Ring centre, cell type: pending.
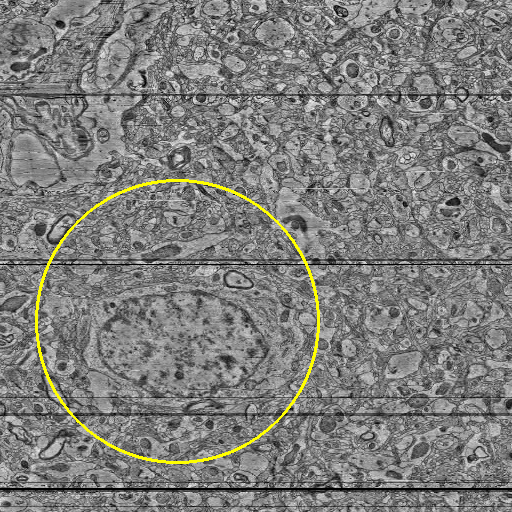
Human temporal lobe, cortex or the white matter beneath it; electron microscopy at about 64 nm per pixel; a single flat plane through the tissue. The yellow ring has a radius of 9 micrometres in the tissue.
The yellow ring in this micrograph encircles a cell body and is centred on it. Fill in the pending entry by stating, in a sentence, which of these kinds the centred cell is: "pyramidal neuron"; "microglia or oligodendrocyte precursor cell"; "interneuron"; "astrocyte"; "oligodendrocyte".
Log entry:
The centred cell is recorded as an interneuron.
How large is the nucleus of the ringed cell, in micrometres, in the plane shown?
In this plane the nucleus measures roughly 11 by 7 micrometers.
